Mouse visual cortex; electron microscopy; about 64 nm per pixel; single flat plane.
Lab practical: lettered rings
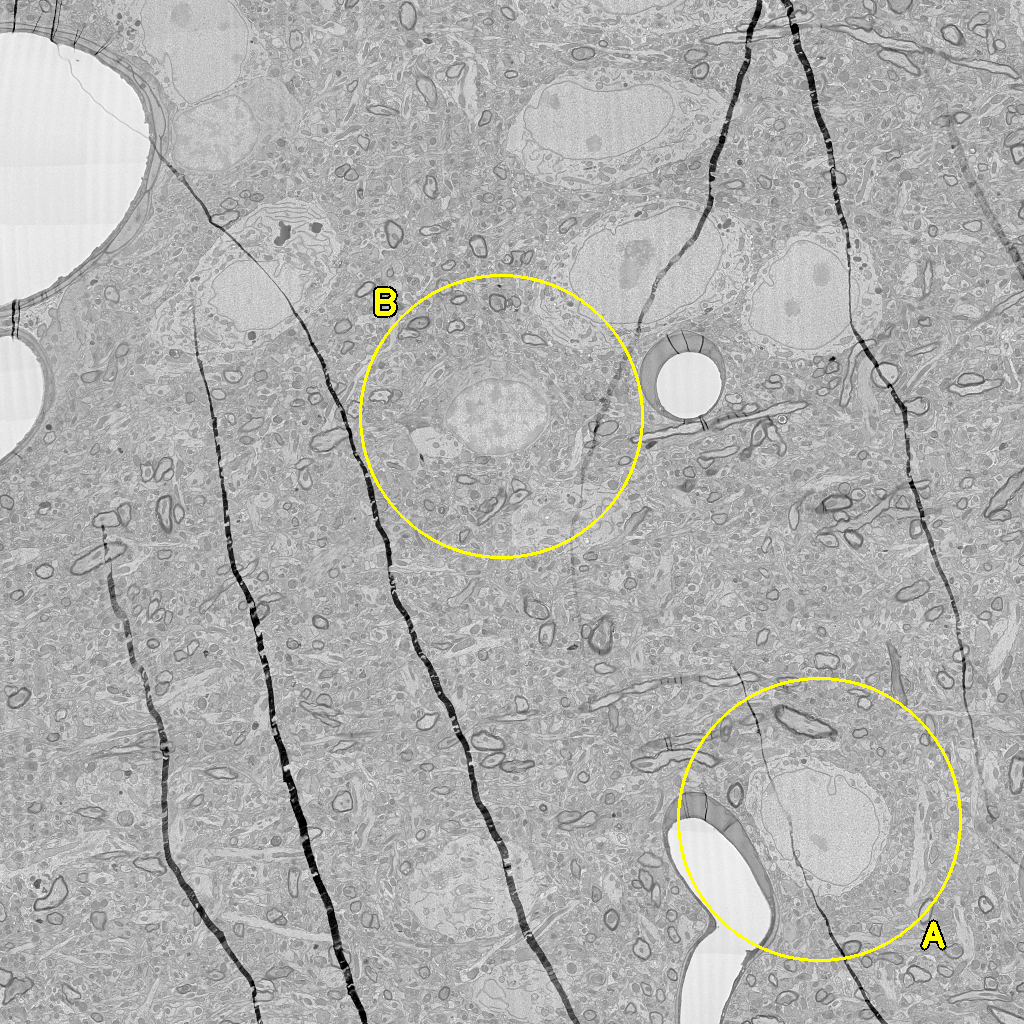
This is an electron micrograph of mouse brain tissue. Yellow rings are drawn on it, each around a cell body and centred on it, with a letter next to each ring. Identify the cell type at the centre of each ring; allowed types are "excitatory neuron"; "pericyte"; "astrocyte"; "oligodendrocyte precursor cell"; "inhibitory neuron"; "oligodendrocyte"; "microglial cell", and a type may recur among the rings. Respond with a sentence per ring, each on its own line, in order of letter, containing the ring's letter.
Lying at the centre of ring A is an excitatory neuron.
Lying at the centre of ring B is an oligodendrocyte.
